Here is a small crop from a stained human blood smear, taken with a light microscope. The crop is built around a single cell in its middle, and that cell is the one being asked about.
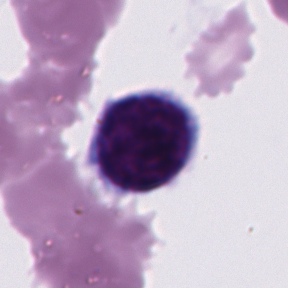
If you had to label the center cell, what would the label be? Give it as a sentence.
The middle position in this crop is taken by a hairy cell.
